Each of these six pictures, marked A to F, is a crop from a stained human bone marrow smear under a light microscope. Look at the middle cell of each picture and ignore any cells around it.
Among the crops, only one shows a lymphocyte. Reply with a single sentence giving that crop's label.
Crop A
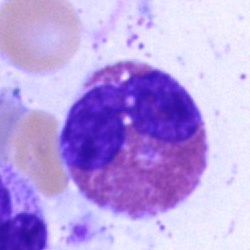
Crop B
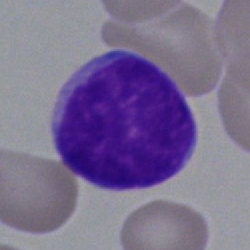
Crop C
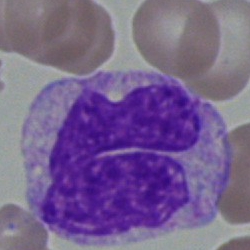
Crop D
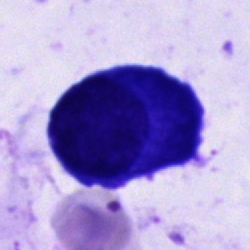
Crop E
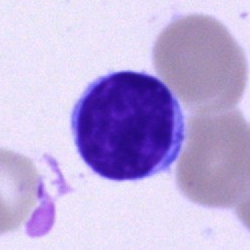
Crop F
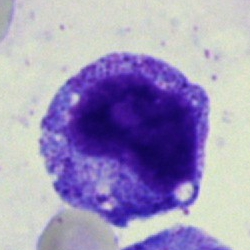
So the crop with a lymphocyte at its center is crop E.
